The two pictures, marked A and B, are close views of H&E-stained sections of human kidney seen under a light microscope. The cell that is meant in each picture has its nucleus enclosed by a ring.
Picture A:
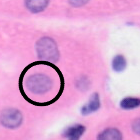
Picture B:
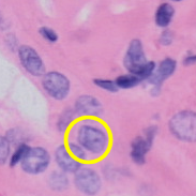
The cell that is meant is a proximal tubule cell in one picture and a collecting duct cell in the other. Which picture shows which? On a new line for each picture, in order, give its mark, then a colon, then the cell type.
A: proximal tubule cell
B: collecting duct cell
